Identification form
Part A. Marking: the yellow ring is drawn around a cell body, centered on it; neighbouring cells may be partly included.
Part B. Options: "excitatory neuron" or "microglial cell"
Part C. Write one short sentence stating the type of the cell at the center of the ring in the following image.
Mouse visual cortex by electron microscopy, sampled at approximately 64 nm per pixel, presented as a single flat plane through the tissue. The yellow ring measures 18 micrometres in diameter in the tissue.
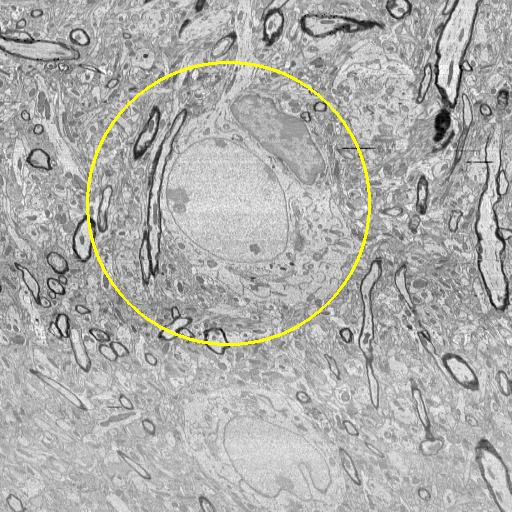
The center of the ring holds an excitatory neuron.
